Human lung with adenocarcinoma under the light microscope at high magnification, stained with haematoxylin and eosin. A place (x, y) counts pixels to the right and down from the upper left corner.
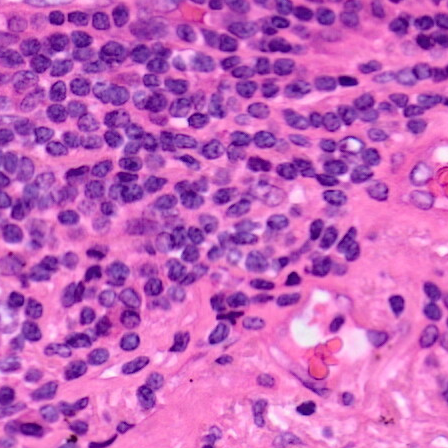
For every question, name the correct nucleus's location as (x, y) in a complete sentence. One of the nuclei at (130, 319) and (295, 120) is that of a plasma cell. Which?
Of the two, the nucleus at (130, 319) is the one contained in a plasma cell.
